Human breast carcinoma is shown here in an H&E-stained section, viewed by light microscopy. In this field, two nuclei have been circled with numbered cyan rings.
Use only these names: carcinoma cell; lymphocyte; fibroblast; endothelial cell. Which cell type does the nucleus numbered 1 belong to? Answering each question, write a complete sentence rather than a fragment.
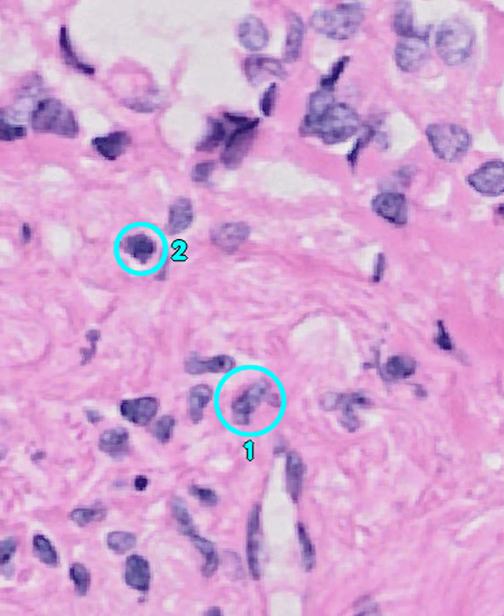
Classified as an endothelial cell is the cell with the number 1.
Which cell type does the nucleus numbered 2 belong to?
The cell that carries the label 2 is a lymphocyte.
